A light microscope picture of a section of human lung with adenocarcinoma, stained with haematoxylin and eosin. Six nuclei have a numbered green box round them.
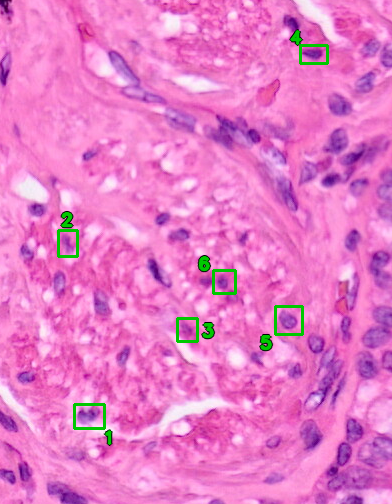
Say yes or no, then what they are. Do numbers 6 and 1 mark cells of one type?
No, cell 6 is a smooth muscle cell or pericyte and cell 1 is a mast cell.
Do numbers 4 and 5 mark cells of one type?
No, cell 4 is a smooth muscle cell or pericyte and cell 5 is a mast cell.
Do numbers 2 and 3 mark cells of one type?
Yes, both are smooth muscle cells or pericytes.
